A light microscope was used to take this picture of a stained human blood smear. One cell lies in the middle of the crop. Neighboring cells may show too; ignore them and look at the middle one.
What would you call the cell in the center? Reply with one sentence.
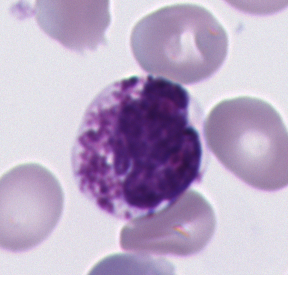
The cell that lies at the centre of the crop is a basophil.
